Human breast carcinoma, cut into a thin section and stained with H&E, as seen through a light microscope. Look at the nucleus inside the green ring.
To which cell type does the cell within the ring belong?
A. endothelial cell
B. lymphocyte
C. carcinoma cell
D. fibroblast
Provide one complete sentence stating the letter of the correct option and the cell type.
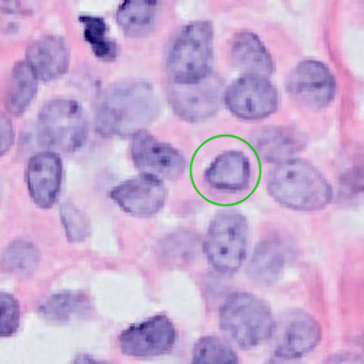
In this item, the cell within the ring is a carcinoma cell, and option C is right.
